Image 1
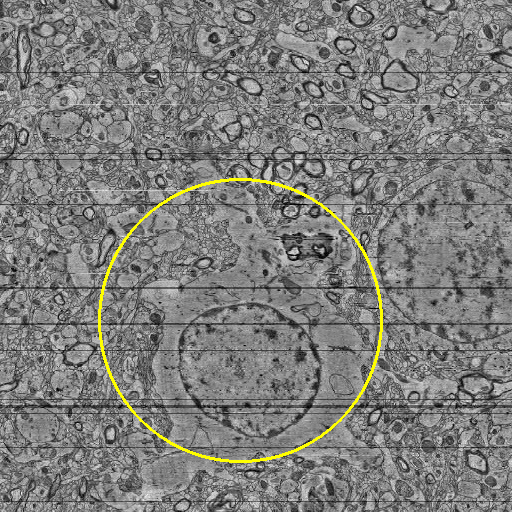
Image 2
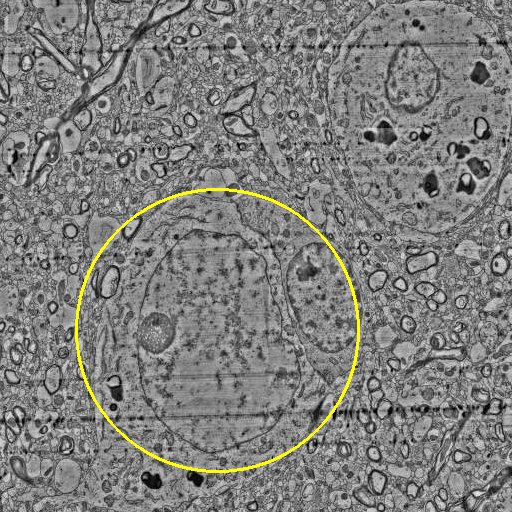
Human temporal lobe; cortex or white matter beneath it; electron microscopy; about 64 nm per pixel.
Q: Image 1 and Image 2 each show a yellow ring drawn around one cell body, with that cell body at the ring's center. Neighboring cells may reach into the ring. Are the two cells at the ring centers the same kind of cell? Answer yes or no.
no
